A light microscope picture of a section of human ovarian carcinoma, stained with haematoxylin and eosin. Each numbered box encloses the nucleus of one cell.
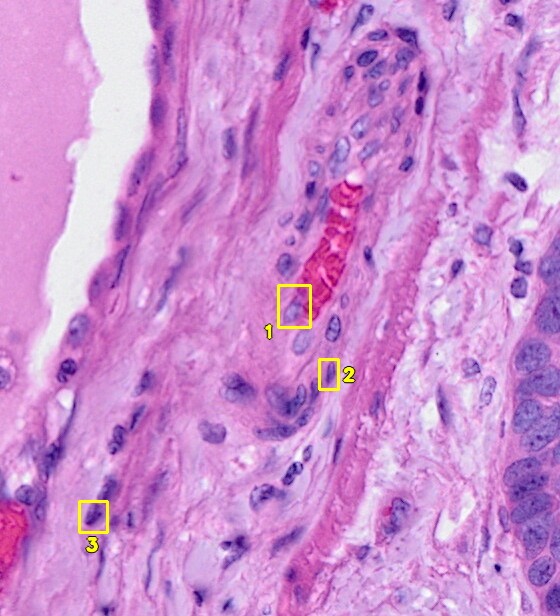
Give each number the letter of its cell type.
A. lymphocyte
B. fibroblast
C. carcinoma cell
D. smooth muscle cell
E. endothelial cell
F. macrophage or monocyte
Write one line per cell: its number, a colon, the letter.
1: E
2: D
3: A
